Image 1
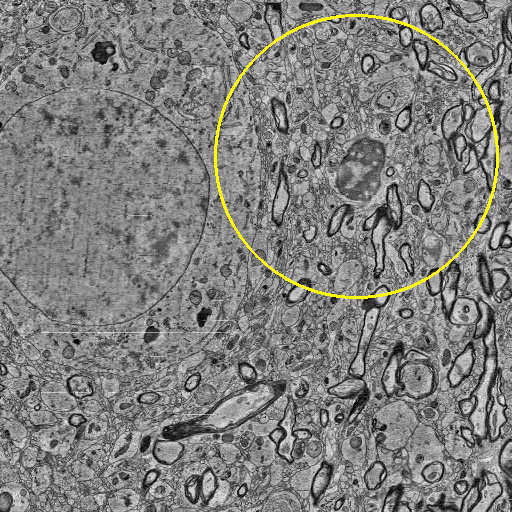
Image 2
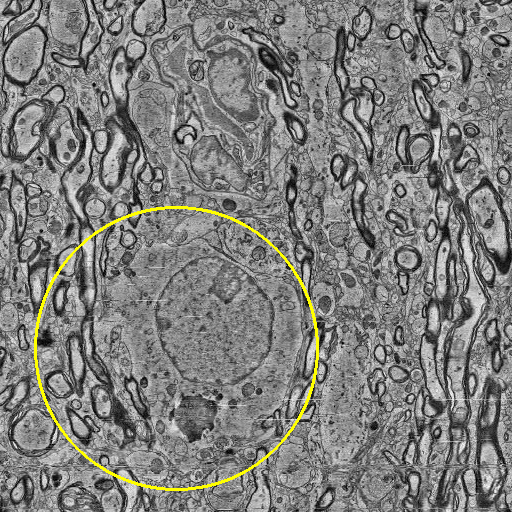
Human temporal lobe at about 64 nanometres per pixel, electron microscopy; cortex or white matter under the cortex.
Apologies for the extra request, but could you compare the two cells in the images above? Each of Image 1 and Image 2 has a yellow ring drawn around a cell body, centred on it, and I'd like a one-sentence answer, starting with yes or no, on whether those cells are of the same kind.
Yes, both cells are of the same kind.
